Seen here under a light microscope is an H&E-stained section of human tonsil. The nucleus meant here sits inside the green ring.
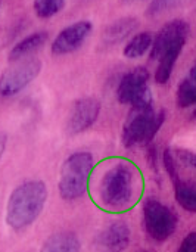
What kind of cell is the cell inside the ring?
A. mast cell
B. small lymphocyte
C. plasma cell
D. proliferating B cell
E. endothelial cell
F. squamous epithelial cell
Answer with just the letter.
F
